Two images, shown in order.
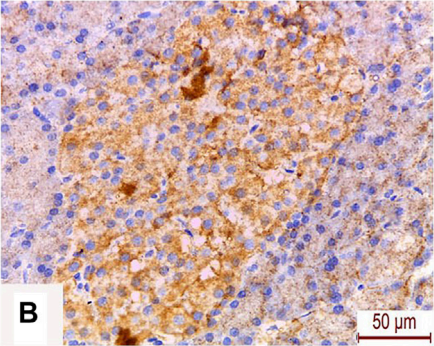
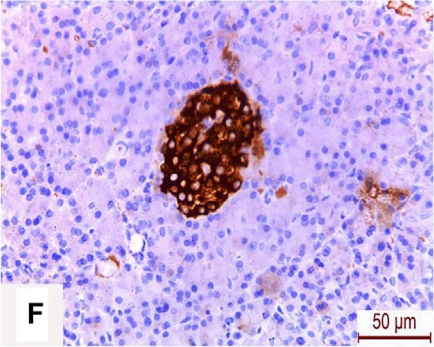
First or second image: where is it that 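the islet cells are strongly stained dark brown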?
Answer: The second image.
